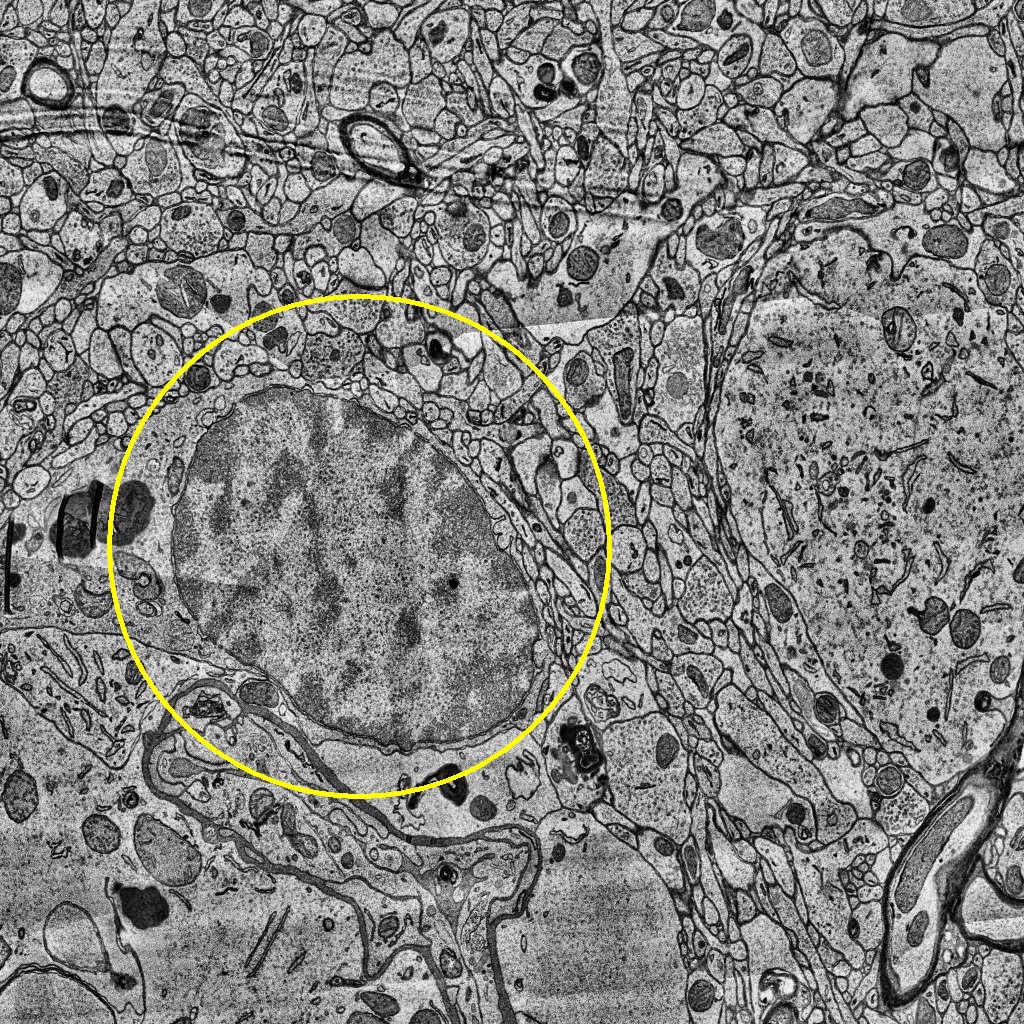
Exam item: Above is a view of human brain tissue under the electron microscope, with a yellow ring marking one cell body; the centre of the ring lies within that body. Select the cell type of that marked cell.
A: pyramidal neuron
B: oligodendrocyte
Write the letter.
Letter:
B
